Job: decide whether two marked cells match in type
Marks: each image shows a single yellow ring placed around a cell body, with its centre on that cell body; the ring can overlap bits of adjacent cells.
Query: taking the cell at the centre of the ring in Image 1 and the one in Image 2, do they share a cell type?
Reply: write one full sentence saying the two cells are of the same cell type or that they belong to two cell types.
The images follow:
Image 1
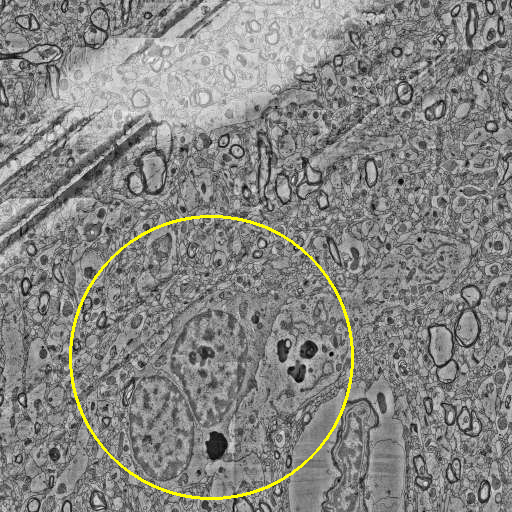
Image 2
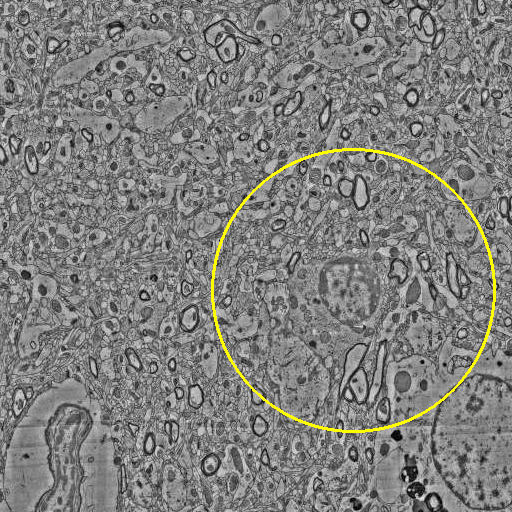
The cells at the ring centres in Image 1 and Image 2 are of the same cell type.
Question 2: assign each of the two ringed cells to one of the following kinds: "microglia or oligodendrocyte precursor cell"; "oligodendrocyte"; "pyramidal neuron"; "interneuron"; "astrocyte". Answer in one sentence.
Both pictures show an oligodendrocyte at the centre of the ring.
